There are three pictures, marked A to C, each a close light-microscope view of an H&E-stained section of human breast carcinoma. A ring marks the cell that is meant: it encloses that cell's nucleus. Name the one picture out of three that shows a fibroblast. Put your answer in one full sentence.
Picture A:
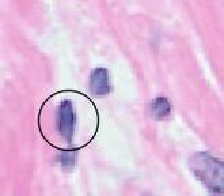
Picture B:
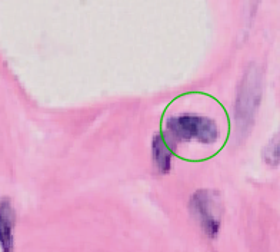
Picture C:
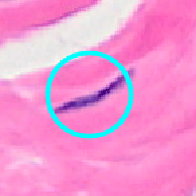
The picture with the fibroblast is C.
